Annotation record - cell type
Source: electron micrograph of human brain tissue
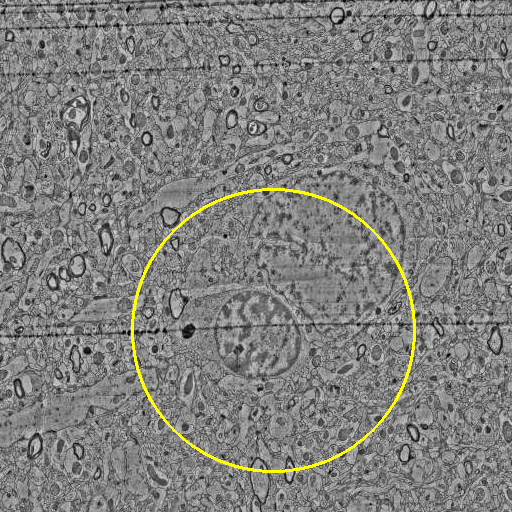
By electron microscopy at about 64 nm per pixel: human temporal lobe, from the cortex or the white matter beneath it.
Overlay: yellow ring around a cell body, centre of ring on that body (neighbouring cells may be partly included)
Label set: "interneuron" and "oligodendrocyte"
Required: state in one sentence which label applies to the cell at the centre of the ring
This cell should be labelled as an oligodendrocyte.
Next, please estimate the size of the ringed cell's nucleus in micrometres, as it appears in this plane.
In this plane, the nucleus of the cell at the centre of the ring is about 6 micrometres across.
